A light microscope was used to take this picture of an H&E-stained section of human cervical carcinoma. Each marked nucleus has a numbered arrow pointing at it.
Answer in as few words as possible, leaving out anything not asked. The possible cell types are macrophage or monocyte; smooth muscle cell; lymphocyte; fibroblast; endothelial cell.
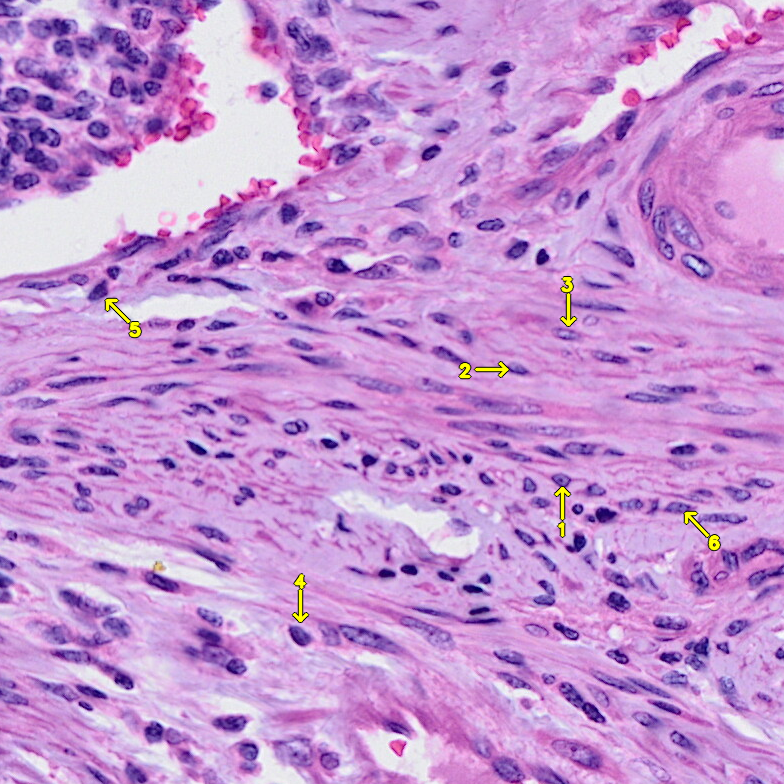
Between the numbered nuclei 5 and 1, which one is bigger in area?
5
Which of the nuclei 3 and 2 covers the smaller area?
2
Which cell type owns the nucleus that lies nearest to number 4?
macrophage or monocyte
